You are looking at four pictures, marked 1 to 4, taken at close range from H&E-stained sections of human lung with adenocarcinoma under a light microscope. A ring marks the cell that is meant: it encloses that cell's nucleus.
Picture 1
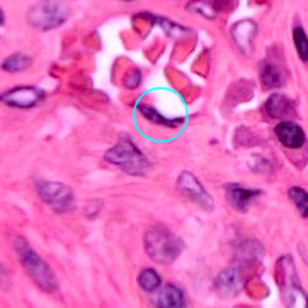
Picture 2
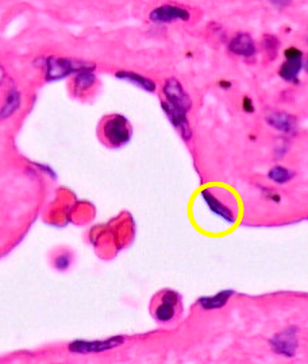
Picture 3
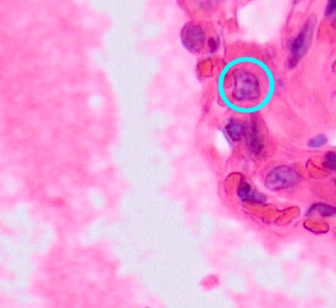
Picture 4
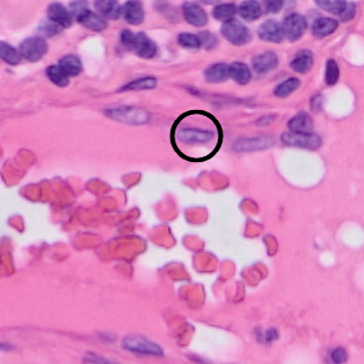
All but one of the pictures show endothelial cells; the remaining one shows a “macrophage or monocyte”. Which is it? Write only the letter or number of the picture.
3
